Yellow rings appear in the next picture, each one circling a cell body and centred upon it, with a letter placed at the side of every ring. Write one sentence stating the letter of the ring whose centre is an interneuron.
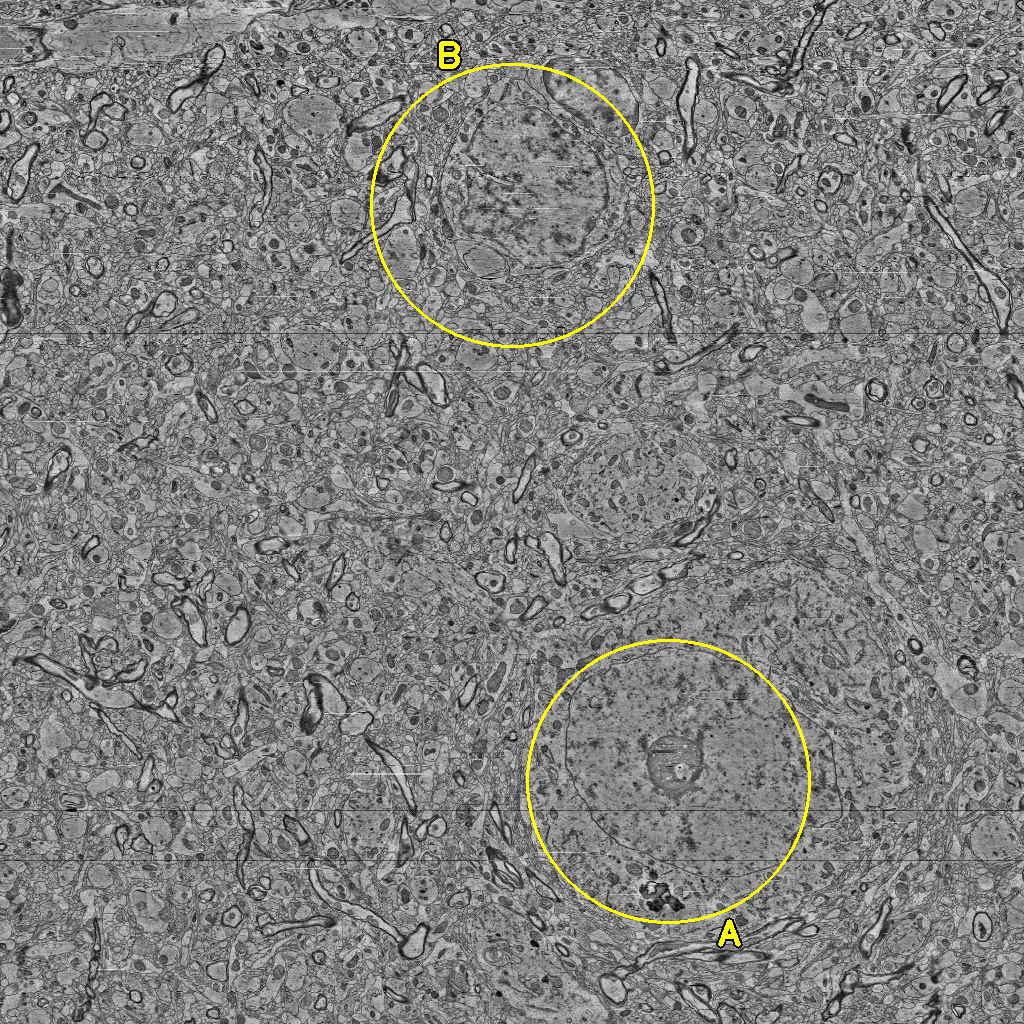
In the picture, the cell asked for lies at the centre of ring B.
